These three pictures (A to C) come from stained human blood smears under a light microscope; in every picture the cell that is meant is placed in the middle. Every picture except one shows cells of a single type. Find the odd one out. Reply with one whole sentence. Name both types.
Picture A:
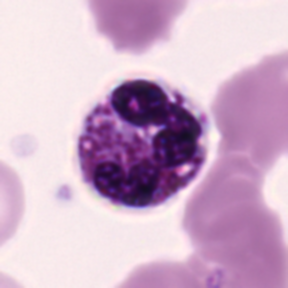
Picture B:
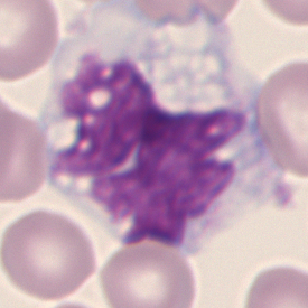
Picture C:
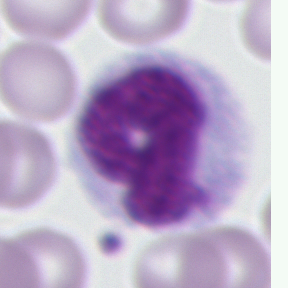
Unlike the rest, which show monocytes, picture A shows an eosinophil.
